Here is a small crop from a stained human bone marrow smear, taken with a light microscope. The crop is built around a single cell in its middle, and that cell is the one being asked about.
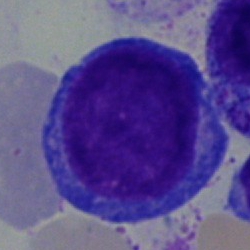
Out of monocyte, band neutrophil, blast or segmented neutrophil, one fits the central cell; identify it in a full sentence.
The middle cell in this particular crop is a blast.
